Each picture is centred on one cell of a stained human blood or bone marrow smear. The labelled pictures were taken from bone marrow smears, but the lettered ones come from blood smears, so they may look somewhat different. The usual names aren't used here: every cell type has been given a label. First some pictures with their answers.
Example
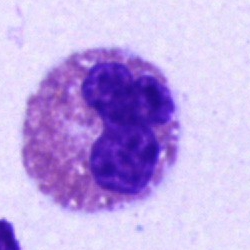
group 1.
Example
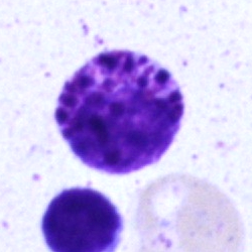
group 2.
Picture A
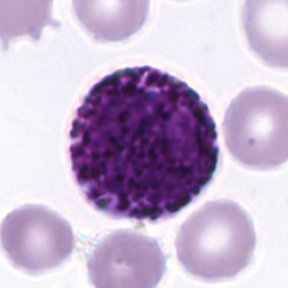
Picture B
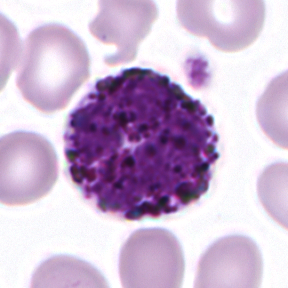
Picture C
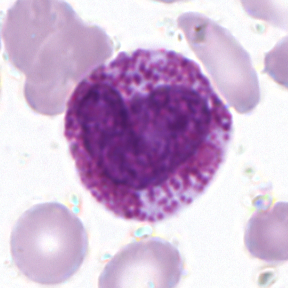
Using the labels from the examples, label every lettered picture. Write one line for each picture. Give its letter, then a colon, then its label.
A: group 2.
B: group 2.
C: group 1.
